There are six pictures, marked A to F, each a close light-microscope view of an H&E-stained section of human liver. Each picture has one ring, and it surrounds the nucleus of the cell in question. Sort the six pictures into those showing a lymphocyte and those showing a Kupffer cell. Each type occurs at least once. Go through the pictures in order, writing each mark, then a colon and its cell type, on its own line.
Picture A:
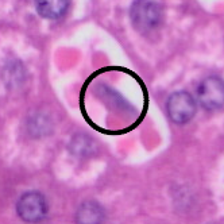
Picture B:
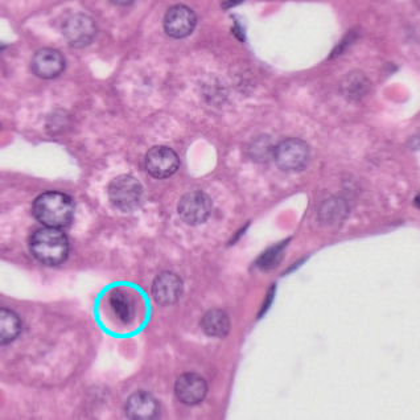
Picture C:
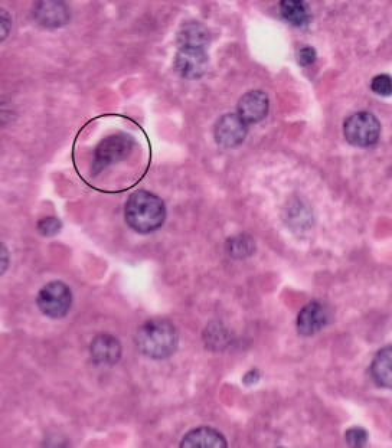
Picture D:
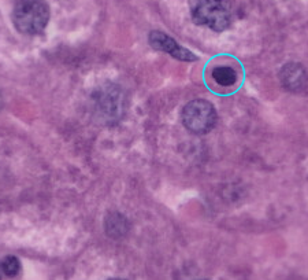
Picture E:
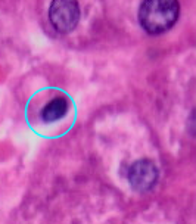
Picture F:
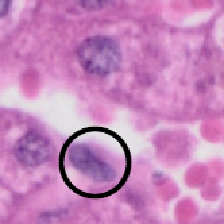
A: Kupffer cell
B: Kupffer cell
C: Kupffer cell
D: lymphocyte
E: lymphocyte
F: Kupffer cell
